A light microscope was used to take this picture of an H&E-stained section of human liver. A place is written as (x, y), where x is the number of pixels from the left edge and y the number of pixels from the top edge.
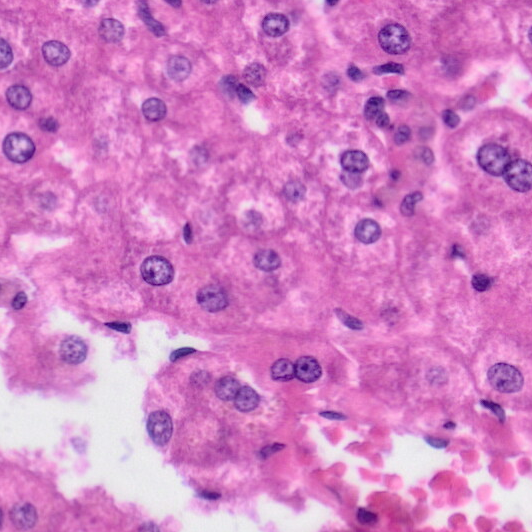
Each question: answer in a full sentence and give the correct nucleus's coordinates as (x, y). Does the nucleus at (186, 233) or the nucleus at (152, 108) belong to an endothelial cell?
Here the nucleus at (186, 233) is the one that belongs to an endothelial cell.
